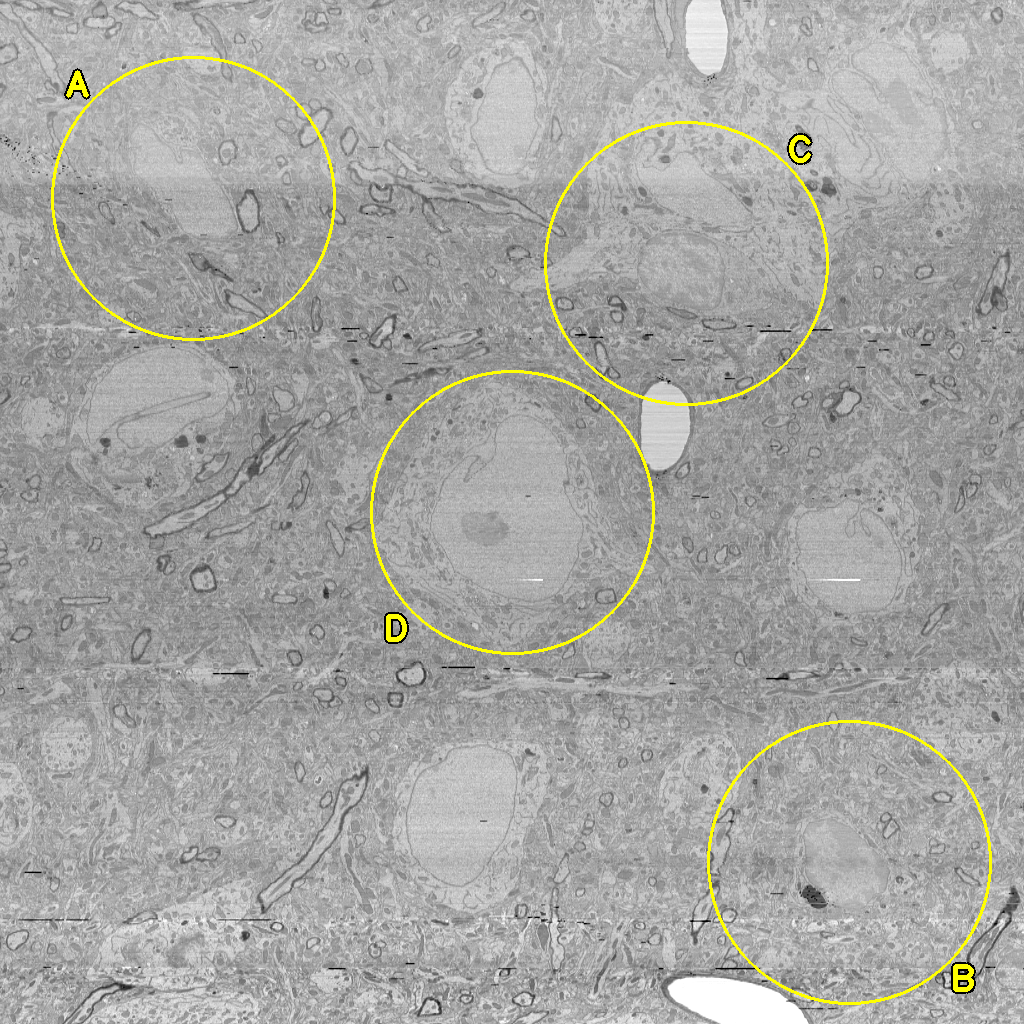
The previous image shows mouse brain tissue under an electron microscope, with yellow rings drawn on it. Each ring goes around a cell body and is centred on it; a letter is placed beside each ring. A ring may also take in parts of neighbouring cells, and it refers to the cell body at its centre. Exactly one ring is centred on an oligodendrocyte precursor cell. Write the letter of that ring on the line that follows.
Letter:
A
